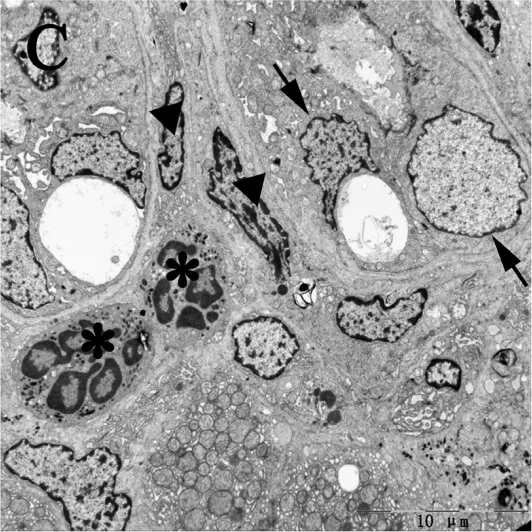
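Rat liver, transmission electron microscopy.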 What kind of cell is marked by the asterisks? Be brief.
Neutrophils.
